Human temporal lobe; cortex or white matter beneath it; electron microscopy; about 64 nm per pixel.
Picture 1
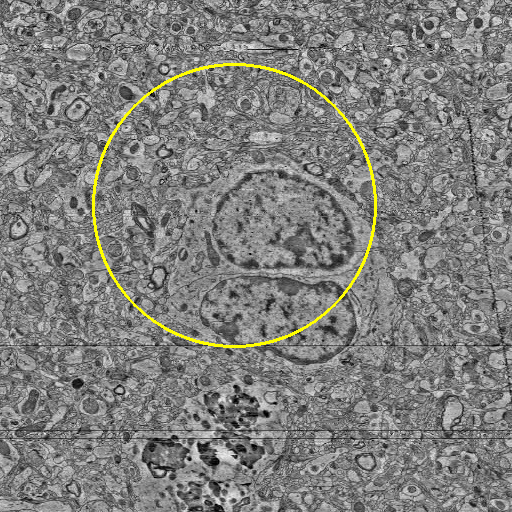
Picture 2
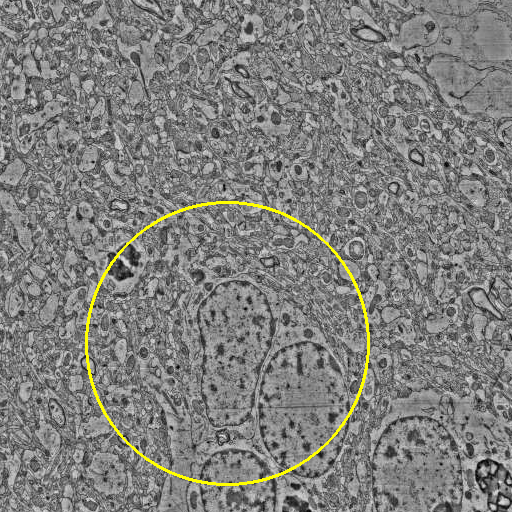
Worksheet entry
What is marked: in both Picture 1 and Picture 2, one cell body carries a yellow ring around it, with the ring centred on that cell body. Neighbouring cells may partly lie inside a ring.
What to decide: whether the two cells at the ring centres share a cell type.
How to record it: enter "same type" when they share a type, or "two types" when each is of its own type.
same type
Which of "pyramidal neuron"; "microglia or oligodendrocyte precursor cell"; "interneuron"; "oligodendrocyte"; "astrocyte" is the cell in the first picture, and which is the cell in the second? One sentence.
In each of the two pictures, the ringed cell is a microglial cell or oligodendrocyte precursor cell.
